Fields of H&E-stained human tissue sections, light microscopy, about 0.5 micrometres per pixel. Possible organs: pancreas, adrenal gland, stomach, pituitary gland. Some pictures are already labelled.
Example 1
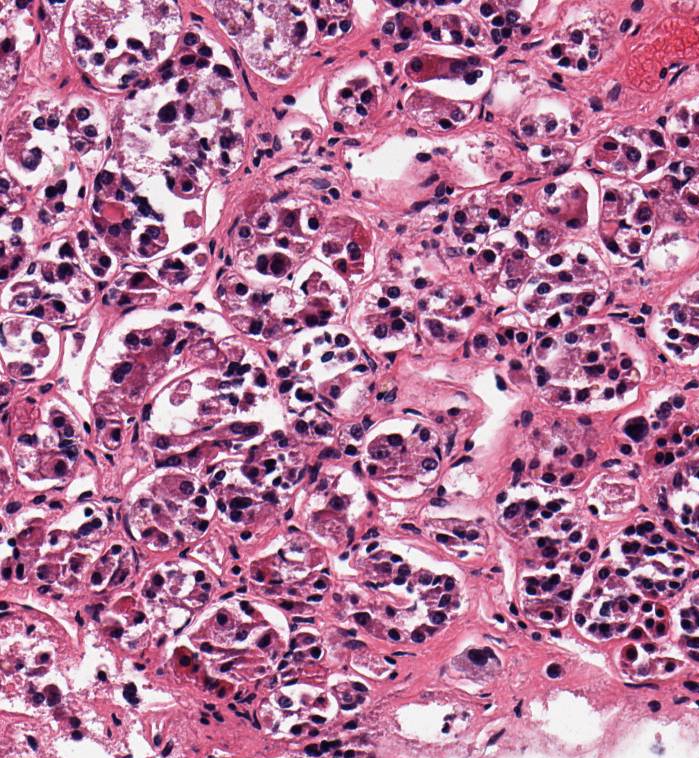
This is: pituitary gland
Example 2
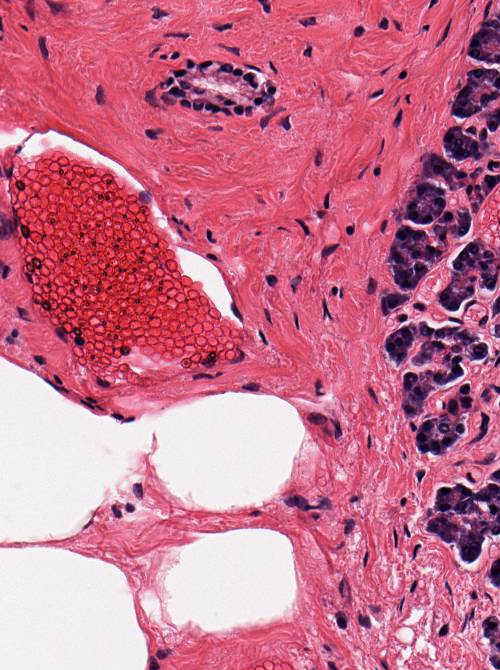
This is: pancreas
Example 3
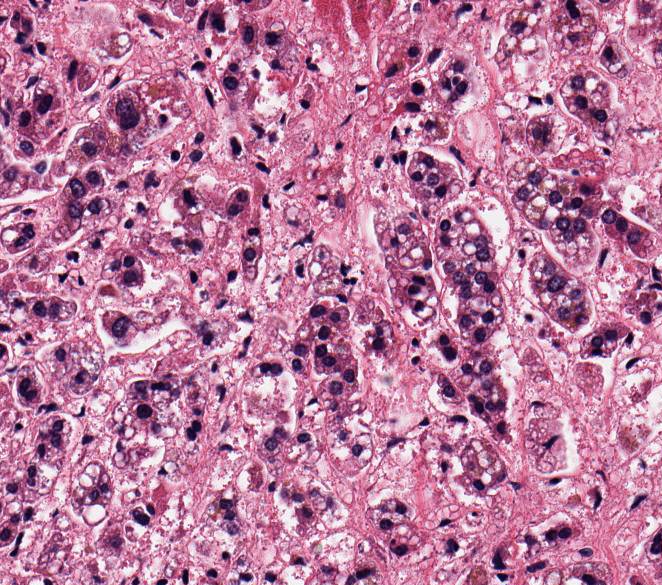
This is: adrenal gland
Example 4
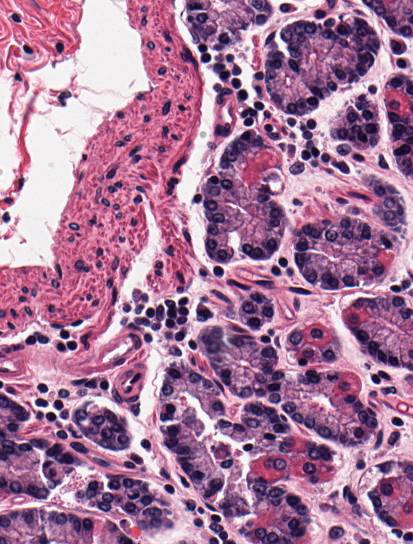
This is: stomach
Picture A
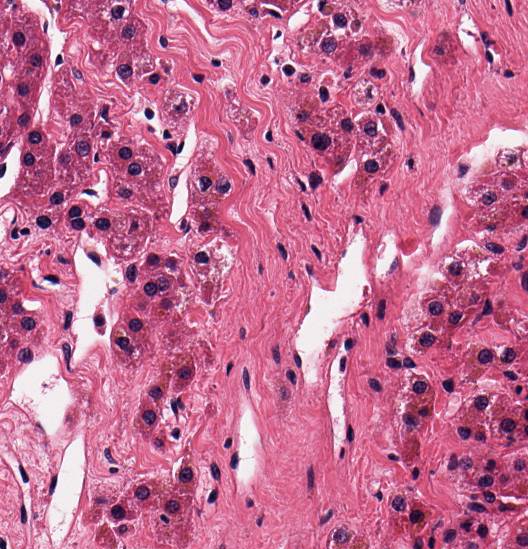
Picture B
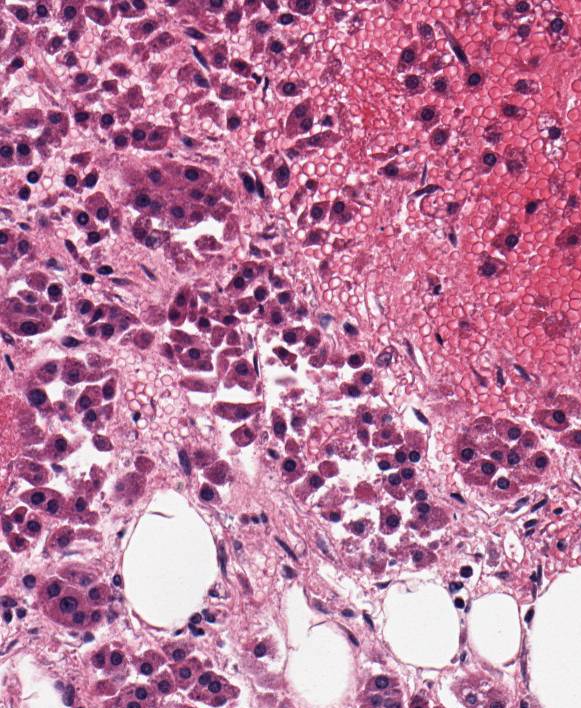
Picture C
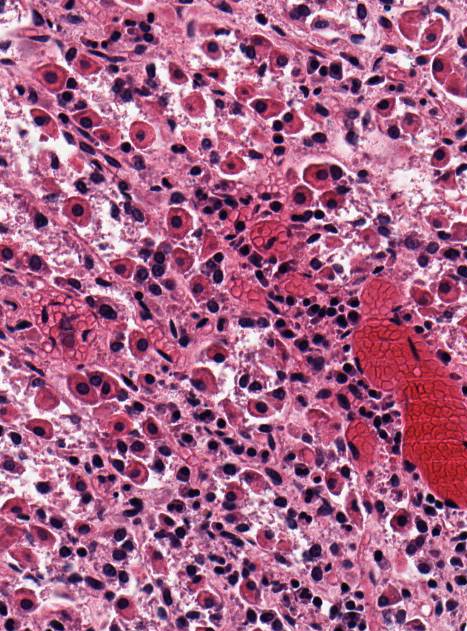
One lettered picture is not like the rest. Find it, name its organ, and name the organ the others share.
C (stomach) is the exception; every other picture is adrenal gland.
